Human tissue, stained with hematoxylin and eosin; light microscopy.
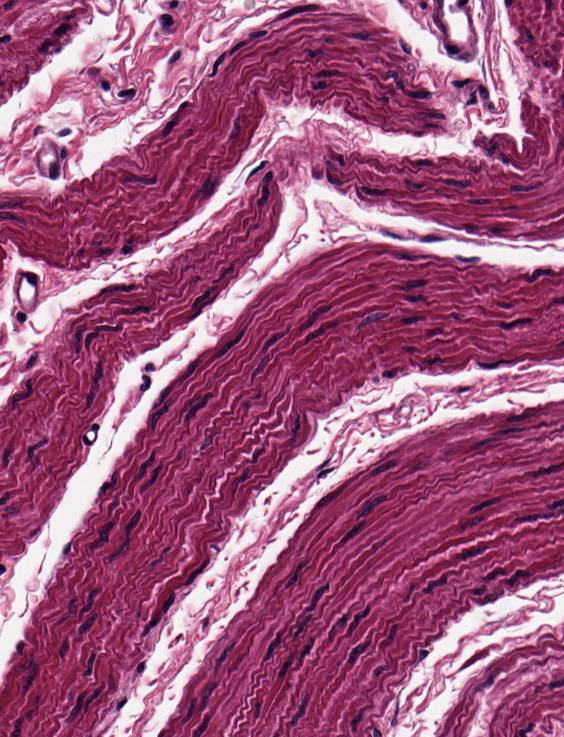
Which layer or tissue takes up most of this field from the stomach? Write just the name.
smooth muscle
